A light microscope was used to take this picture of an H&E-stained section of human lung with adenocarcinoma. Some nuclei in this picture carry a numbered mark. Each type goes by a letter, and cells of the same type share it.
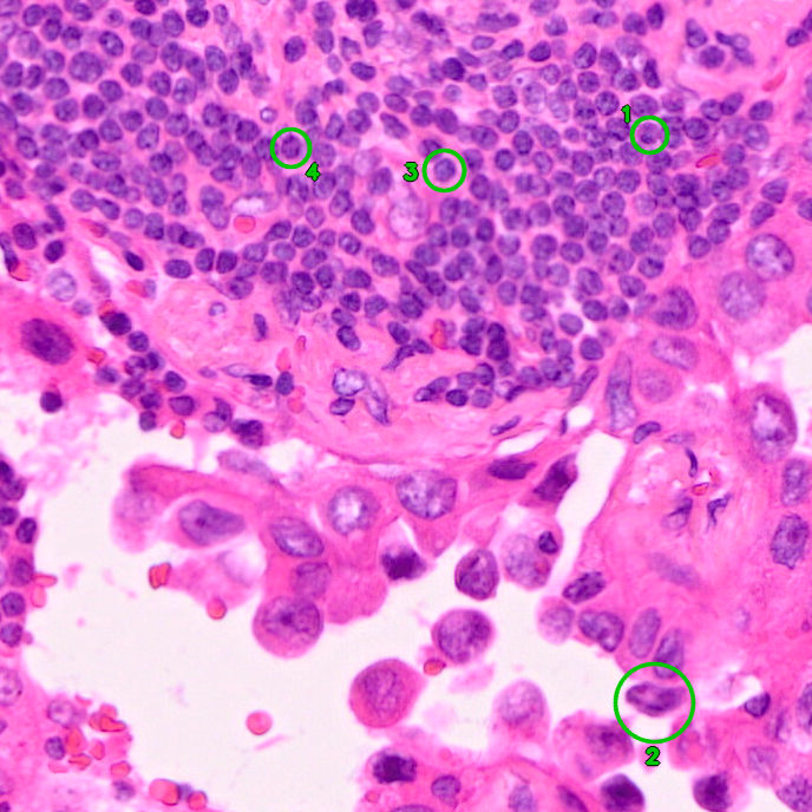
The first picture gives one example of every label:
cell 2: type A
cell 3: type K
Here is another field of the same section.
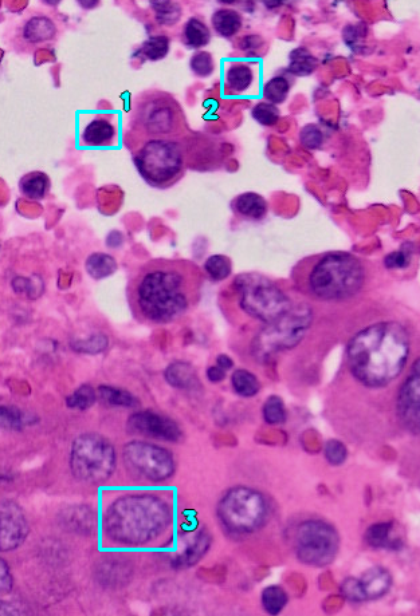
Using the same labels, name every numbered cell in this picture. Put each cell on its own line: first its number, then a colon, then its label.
1: type K
2: type K
3: type A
